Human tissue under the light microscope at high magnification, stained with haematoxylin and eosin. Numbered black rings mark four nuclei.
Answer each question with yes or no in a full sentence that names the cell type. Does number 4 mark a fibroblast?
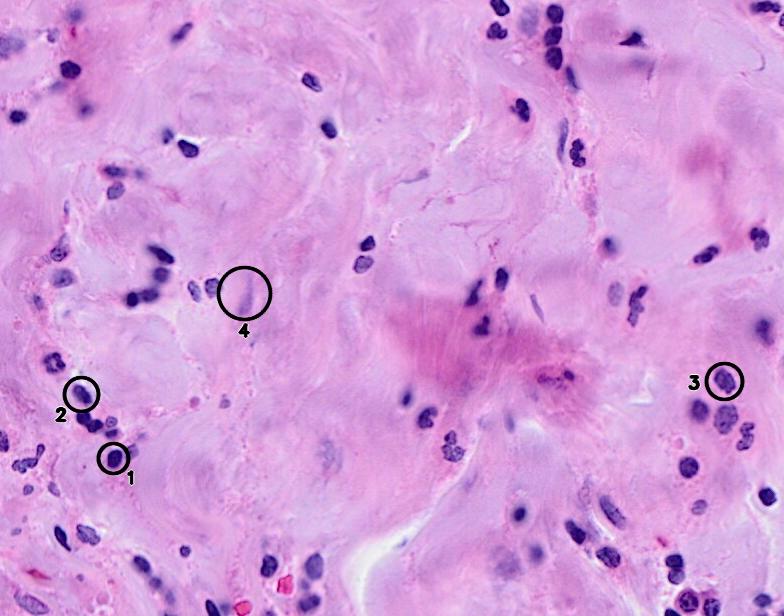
Yes, the cell labelled with number 4 is a fibroblast.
